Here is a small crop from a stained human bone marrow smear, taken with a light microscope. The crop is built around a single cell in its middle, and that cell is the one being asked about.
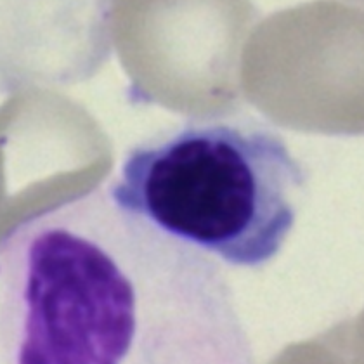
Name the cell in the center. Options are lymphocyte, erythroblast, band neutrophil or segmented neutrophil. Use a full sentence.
The central element of this crop is a cell, namely an erythroblast.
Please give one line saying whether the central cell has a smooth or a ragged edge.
The cell shows an uneven border, formed by ragged areas or by outward projections.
